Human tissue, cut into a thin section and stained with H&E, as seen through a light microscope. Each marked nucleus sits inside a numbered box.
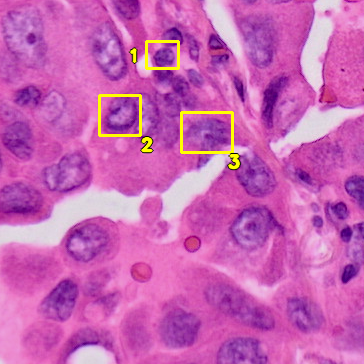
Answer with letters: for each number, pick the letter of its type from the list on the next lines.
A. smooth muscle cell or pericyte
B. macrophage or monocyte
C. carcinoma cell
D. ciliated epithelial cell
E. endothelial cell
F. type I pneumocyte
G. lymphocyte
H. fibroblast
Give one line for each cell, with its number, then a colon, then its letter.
1: G
2: C
3: C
